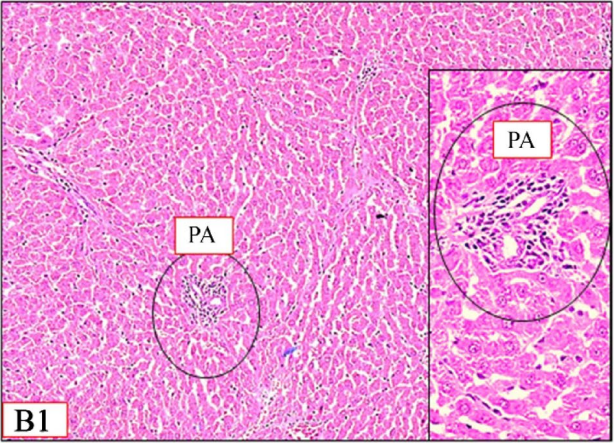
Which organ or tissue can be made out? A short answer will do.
Classic hepatic lobules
